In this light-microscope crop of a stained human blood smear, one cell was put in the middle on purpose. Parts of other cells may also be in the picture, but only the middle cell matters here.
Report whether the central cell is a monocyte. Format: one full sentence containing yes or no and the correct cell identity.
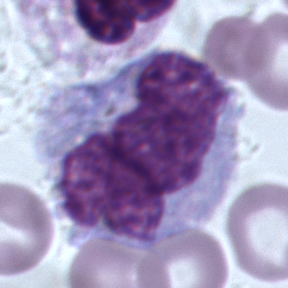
Yes, the cell of interest in the centre is a monocyte.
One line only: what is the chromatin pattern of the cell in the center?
The chromatin remains finely textured, with no coarse clumps to speak of.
